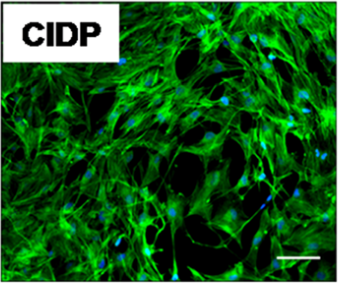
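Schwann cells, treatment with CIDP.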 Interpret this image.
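Most cells are narrow and elongated, with long, thin processes that stretch across the field and cross those of neighbouring cells, so that together they form a tangled meshwork. Fine green fibres run along the length of the cells. Between the crossing processes lie small dark gaps free of cells. The nuclei are small and oval, placed in the thicker middle part of each cell, and the cell bodies are much less broad and flat than in a sheet of spread cells.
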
